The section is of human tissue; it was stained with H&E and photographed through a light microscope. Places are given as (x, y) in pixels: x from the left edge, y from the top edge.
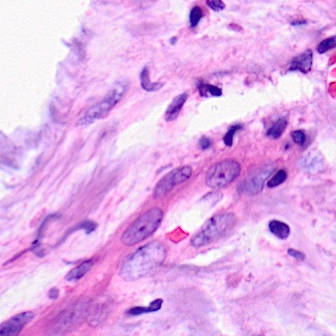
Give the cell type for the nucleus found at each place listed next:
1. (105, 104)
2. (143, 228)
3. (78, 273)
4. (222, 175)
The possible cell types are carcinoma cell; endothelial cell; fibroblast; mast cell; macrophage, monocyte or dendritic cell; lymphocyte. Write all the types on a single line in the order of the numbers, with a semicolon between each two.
fibroblast; endothelial cell; endothelial cell; endothelial cell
